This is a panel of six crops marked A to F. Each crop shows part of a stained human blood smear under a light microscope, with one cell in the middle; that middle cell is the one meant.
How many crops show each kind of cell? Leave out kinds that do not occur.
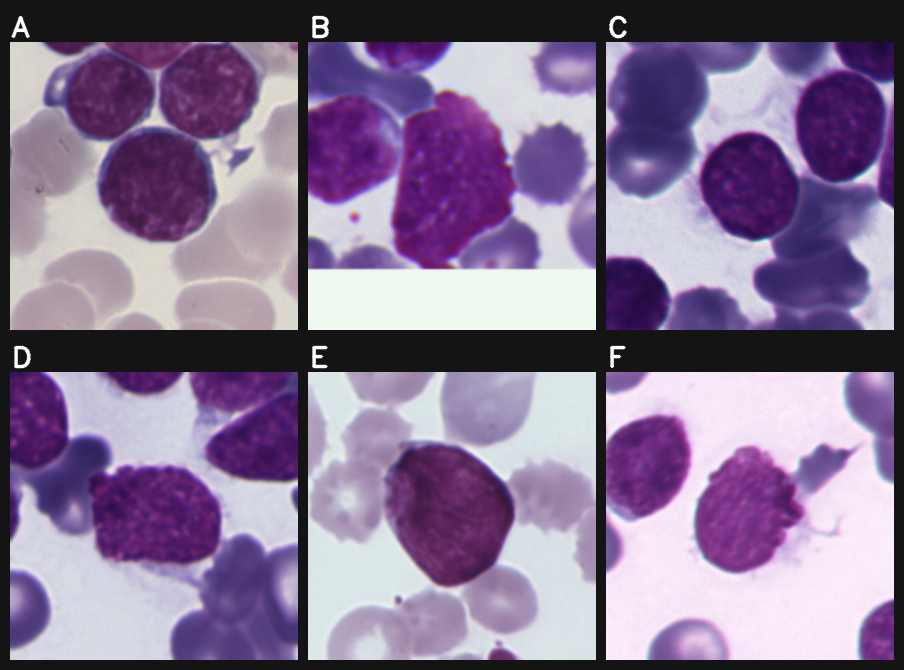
myeloblast: 4
smudge cell: 2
